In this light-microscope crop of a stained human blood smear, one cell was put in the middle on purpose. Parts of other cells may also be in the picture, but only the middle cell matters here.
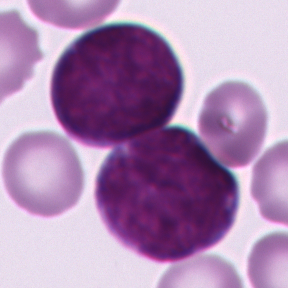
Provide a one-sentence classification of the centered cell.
Whatever else lies nearby, the middle cell is a blast.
